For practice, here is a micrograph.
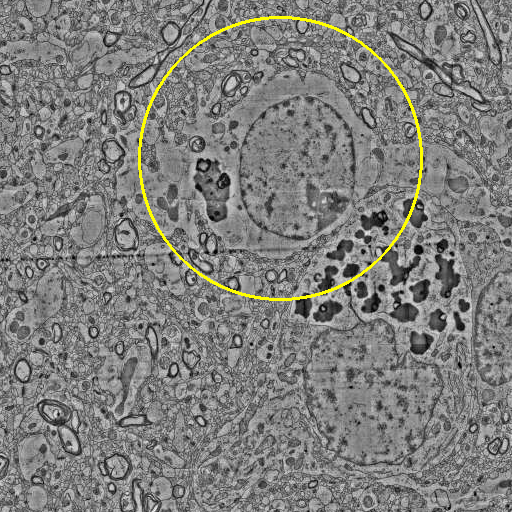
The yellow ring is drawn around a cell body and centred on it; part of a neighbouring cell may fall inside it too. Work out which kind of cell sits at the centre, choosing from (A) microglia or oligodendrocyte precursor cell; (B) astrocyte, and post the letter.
B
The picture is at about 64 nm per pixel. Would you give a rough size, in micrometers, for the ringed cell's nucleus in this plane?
The ringed cell's nucleus measures approximately 9 by 7 micrometres in this plane.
